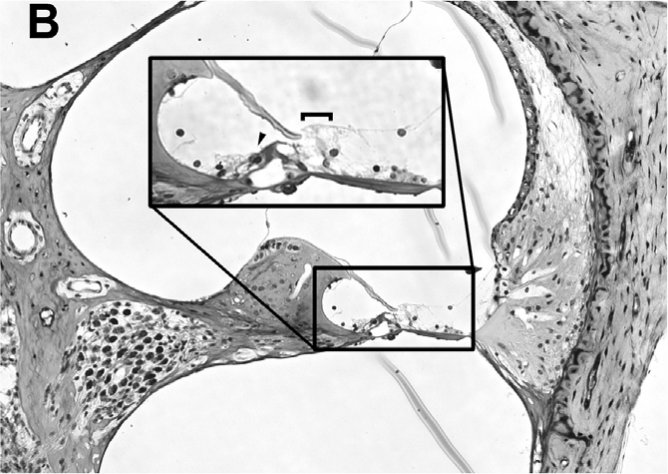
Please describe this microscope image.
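This section shows a turn of the cochlea with a fluid-filled duct, a thin membrane forming its upper boundary, and a thick lateral wall on the right with a darker cellular inner layer. At the lower left, within bone, lies a cluster of densely packed cells with round dark nuclei. A raised tissue mound occupies the inner floor of the duct. The boxed and enlarged region on the floor shows a small group of epithelial cells on a thin membrane, including a cell with a dark round nucleus near the inner side and a sparser, pale, loosely arranged region further outward. The staining is in shades of grey to black, with nuclei darkest.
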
